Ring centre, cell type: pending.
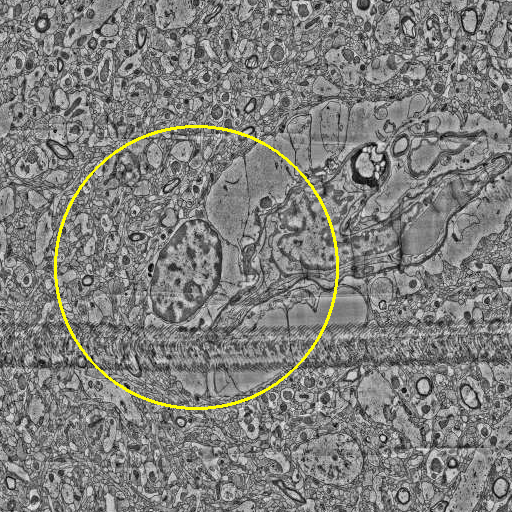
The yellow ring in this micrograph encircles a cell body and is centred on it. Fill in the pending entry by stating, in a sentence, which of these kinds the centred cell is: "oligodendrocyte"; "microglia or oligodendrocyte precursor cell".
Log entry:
The centred cell is recorded as a microglial cell or oligodendrocyte precursor cell.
